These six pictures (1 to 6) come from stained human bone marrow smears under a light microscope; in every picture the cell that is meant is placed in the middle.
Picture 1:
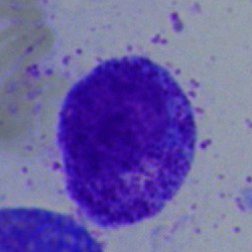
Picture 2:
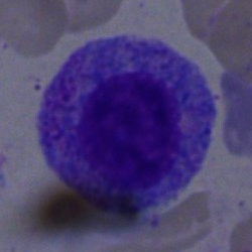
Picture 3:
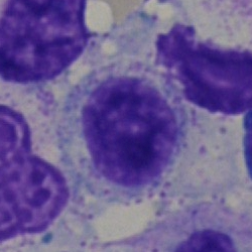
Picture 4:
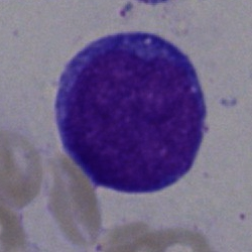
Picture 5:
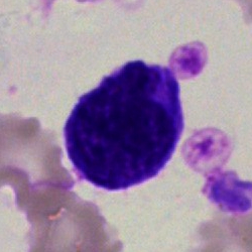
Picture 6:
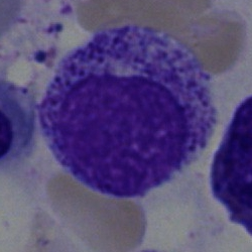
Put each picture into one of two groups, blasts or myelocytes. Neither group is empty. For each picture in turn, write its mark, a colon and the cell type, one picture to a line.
1: myelocyte
2: myelocyte
3: myelocyte
4: blast
5: blast
6: myelocyte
